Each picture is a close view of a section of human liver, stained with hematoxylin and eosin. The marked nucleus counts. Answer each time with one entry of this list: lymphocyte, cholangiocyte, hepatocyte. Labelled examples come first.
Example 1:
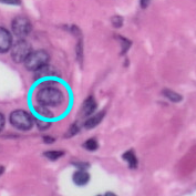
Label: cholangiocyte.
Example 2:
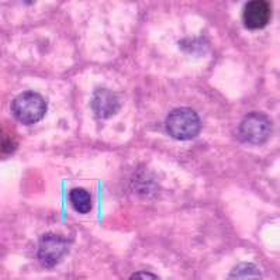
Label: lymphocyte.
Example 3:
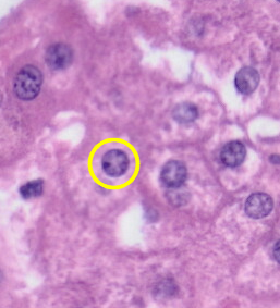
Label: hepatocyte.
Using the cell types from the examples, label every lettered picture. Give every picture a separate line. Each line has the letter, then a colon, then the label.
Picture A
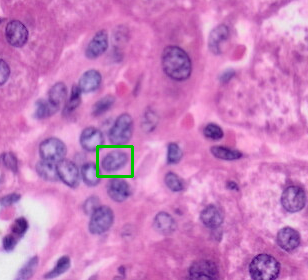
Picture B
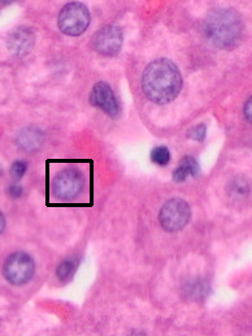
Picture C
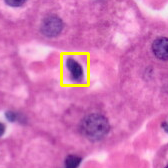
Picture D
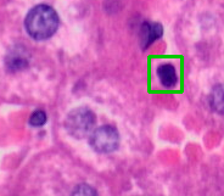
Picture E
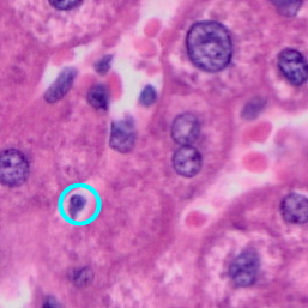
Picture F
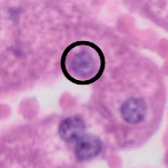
A: cholangiocyte.
B: hepatocyte.
C: lymphocyte.
D: lymphocyte.
E: lymphocyte.
F: hepatocyte.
